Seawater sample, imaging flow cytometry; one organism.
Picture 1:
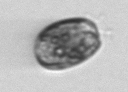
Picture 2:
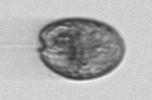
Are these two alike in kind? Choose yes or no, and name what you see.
Yes. Prorocentrum.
